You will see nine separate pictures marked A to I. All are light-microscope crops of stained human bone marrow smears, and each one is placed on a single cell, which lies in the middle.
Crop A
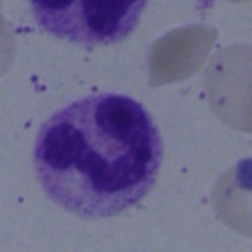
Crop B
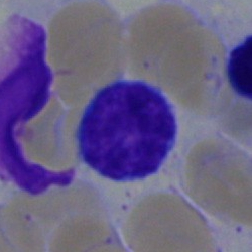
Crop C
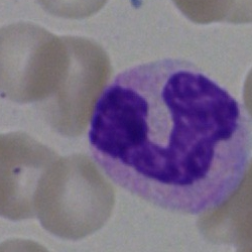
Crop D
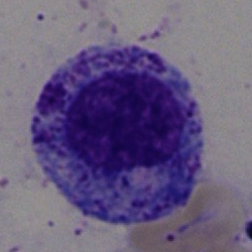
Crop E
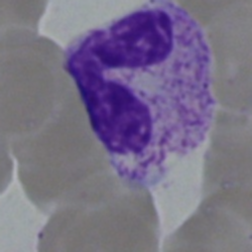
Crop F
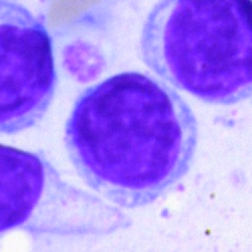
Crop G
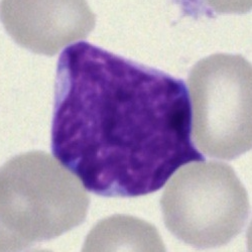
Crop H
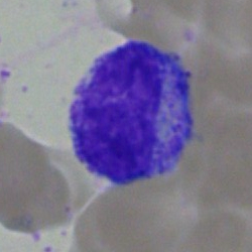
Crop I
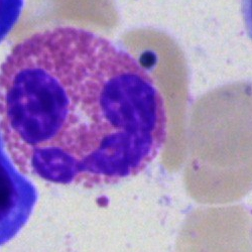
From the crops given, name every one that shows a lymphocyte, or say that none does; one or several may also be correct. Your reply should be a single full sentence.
So, to put it simply, crops B and F show lymphocytes.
